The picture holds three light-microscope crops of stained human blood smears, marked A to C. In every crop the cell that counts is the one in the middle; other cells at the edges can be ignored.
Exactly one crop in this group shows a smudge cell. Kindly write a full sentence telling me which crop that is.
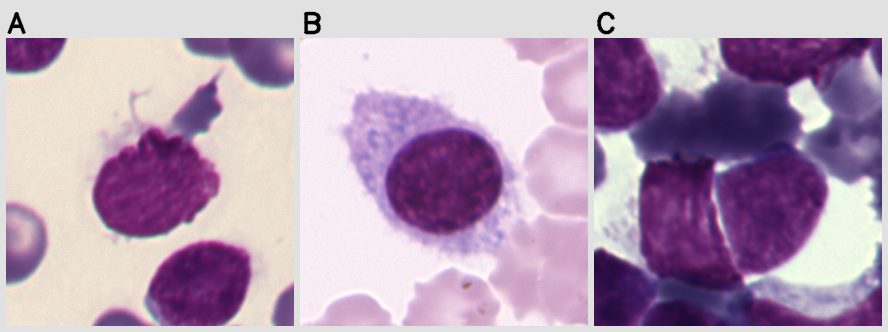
Crop A is the one in the set with a smudge cell at the center.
